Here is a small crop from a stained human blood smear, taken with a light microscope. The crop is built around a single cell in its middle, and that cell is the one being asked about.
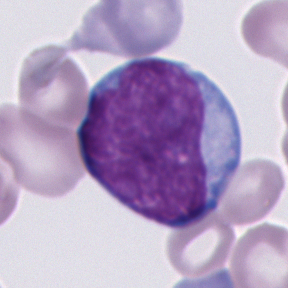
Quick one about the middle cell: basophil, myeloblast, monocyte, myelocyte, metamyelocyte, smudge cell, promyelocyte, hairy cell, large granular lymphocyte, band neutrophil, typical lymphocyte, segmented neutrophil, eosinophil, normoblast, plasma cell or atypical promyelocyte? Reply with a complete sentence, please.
The cell positioned in the middle of the field is a myeloblast.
